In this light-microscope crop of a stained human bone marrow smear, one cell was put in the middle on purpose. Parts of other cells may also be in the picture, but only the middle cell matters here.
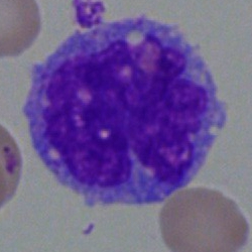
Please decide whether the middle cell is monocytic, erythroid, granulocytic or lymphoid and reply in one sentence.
The middle cell is a constituent of the monocytic lineage.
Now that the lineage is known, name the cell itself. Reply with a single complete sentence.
The cell featured at the centre of this crop is a monocyte.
